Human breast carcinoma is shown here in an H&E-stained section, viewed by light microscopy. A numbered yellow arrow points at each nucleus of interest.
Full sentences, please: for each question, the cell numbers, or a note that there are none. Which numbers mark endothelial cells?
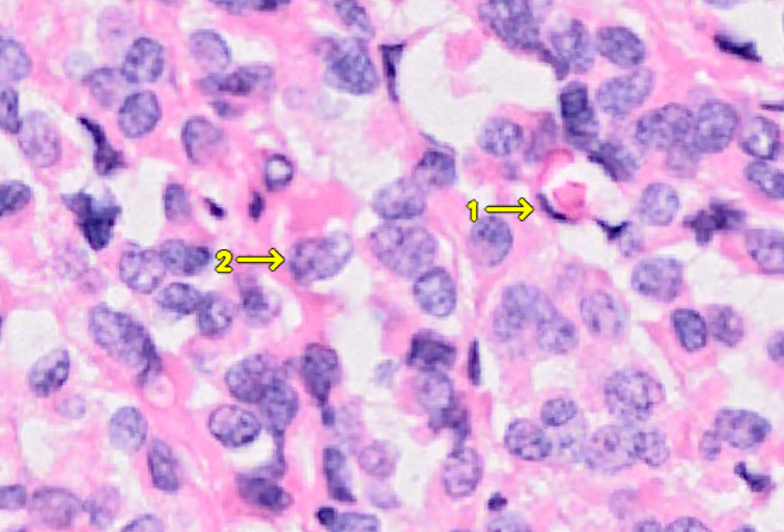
Of the cells marked with numbers, cell 1 is the only one that is an endothelial cell.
